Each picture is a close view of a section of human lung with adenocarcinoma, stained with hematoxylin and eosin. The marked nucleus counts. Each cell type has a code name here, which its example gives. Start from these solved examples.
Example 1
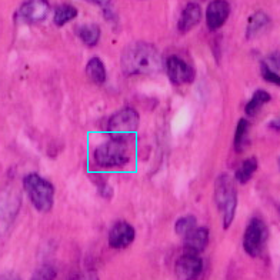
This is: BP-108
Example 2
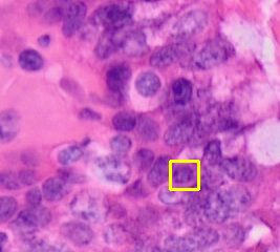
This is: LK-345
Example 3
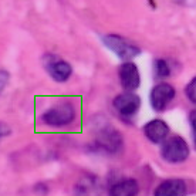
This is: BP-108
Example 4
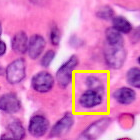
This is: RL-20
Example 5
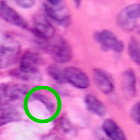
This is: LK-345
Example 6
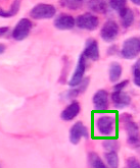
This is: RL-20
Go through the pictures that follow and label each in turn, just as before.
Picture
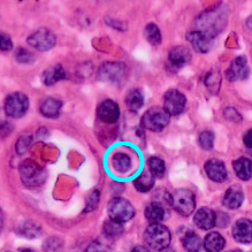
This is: RL-20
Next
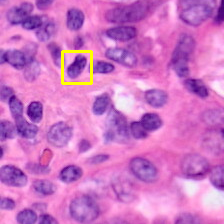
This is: RL-20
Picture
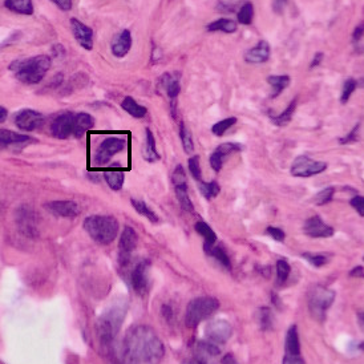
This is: BP-108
